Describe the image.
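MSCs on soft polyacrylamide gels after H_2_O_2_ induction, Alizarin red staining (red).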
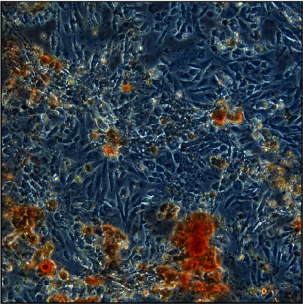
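The cells are mostly elongated and spindle-shaped, with thin processes, and lie side by side in a meshwork over a bluish-grey background. Small red-orange granular clumps are dispersed across the field, several sitting on or between rounded cells. A larger compact red deposit lies near the lower part of the field. Some rounded, refractile cells are scattered among the flattened spindle cells.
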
